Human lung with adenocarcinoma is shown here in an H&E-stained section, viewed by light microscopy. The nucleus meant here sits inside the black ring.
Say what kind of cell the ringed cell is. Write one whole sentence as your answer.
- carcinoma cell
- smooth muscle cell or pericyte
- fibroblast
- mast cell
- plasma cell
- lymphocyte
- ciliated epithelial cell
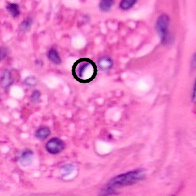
The ringed cell appears to be a smooth muscle cell or pericyte.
